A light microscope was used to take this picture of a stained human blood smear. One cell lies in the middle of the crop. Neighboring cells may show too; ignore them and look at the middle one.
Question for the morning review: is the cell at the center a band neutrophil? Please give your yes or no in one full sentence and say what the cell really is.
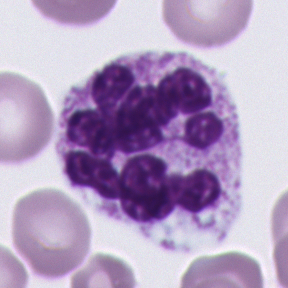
No, the cell in the middle is a segmented neutrophil, not a band neutrophil.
